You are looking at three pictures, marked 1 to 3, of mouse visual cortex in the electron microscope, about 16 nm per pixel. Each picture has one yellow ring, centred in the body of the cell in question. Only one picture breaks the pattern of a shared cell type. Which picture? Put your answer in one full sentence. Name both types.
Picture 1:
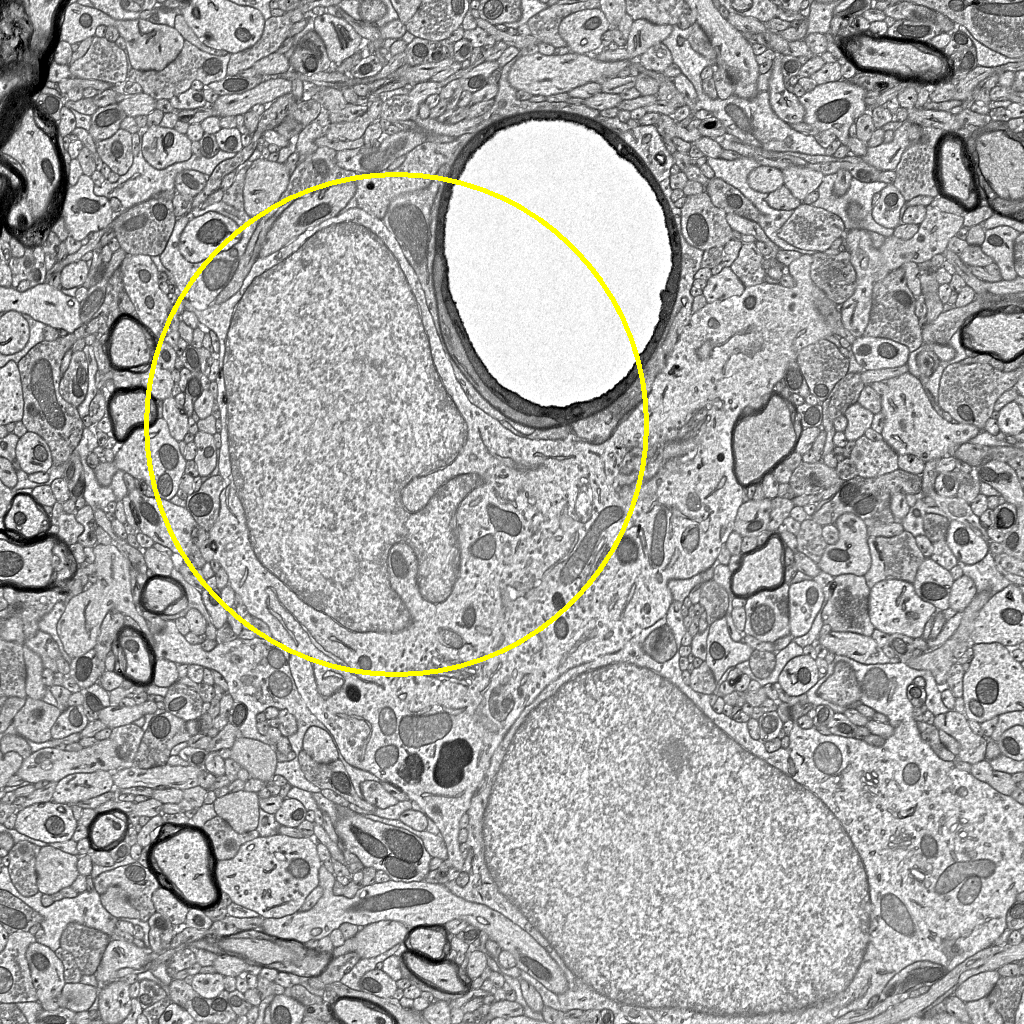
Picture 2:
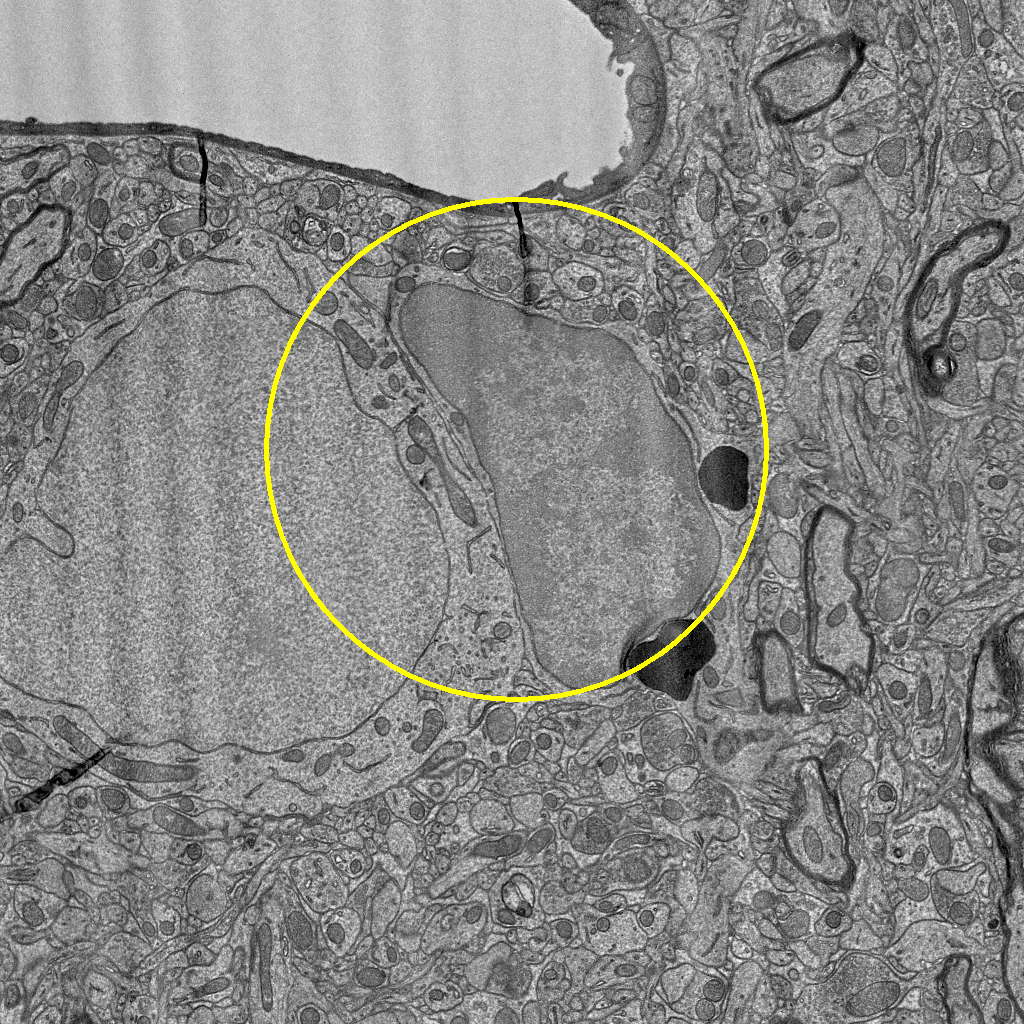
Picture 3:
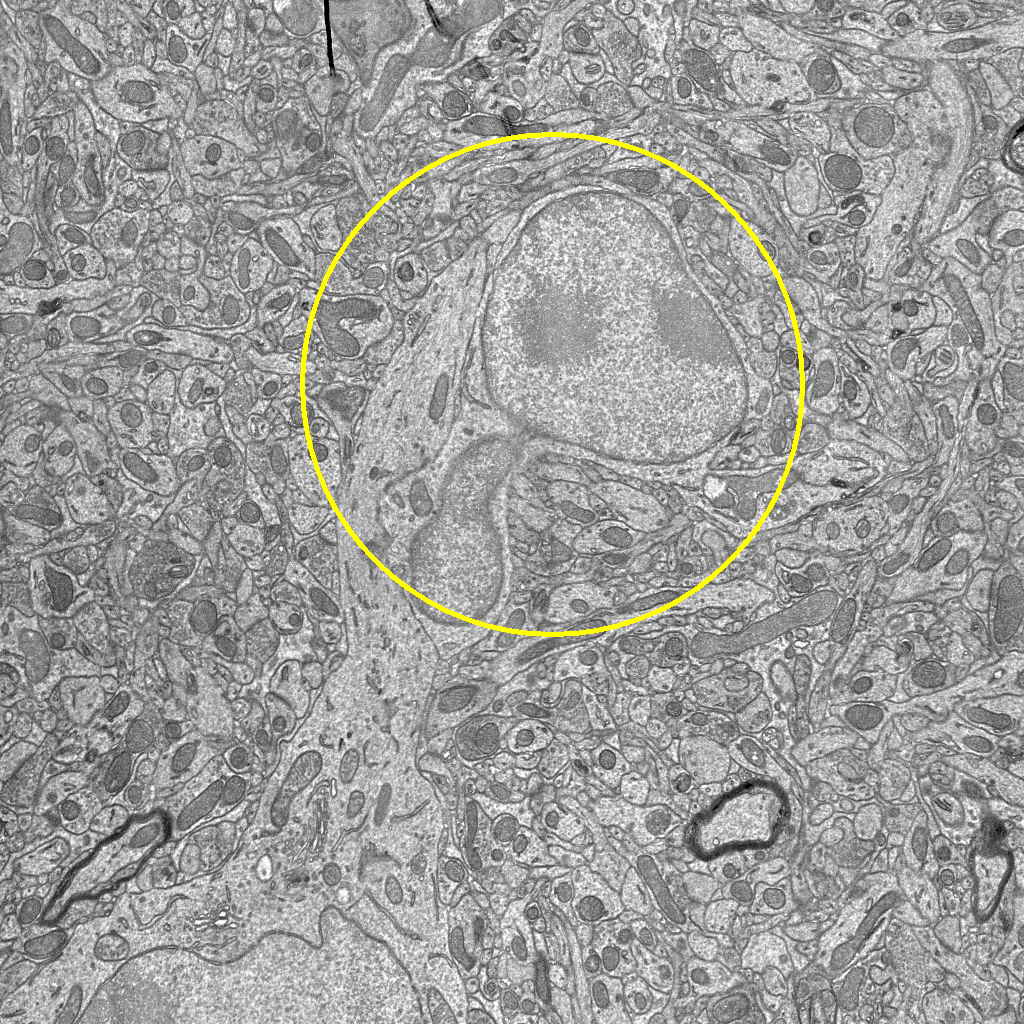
Picture 2 is the odd one out: it shows a microglial cell, while the others show oligodendrocyte precursor cells.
